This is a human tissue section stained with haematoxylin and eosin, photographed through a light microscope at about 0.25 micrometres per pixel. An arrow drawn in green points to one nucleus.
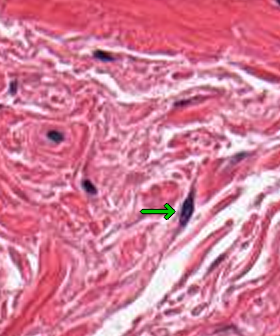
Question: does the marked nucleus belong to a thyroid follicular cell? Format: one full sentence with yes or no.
No, the marked nucleus belongs to a supporting cell, not to a thyroid follicular cell.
